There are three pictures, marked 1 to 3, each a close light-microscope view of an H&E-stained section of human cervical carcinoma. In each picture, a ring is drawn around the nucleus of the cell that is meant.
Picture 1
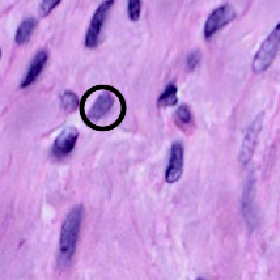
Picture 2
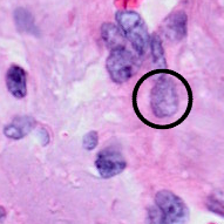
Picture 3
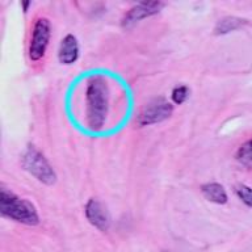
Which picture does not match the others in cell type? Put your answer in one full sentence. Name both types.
Picture 2 differs, because its cell is an endothelial cell and the rest are fibroblasts.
